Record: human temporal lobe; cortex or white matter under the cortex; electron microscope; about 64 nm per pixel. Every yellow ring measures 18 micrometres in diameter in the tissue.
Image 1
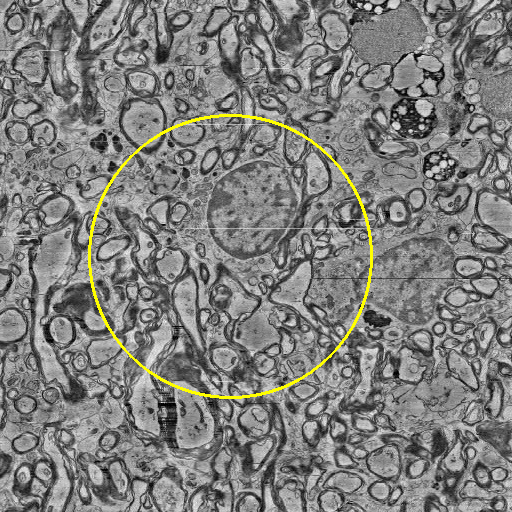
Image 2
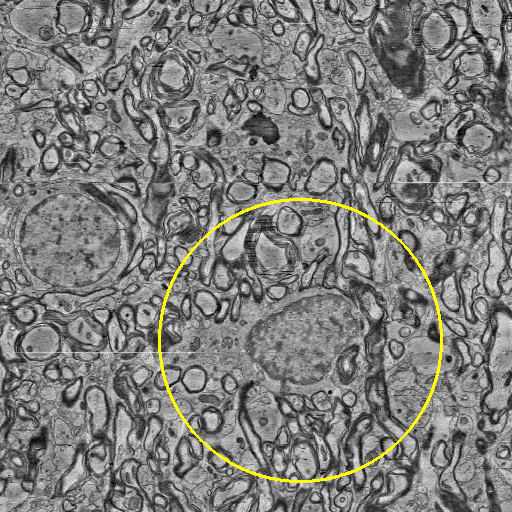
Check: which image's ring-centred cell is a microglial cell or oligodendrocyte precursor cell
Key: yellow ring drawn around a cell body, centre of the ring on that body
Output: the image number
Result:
1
